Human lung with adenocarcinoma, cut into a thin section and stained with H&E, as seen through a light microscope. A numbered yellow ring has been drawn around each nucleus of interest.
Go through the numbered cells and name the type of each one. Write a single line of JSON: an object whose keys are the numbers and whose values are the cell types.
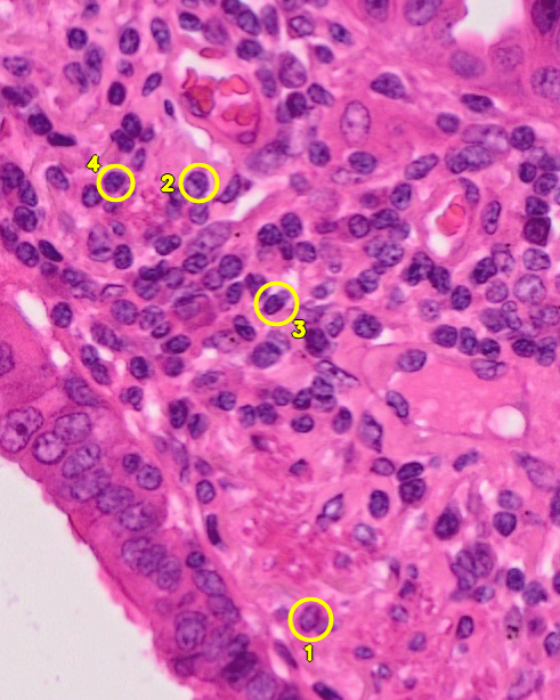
{"1": "mast cell", "2": "lymphocyte", "3": "lymphocyte", "4": "lymphocyte"}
